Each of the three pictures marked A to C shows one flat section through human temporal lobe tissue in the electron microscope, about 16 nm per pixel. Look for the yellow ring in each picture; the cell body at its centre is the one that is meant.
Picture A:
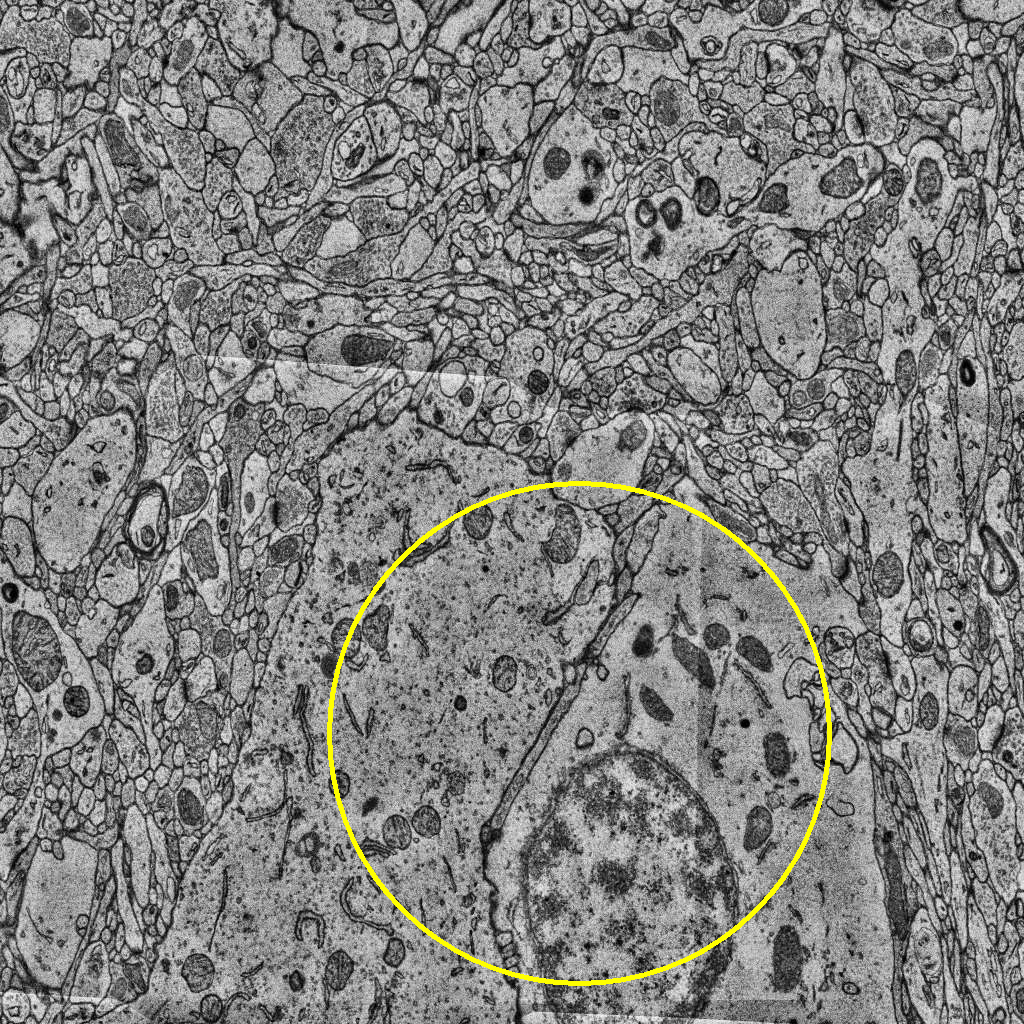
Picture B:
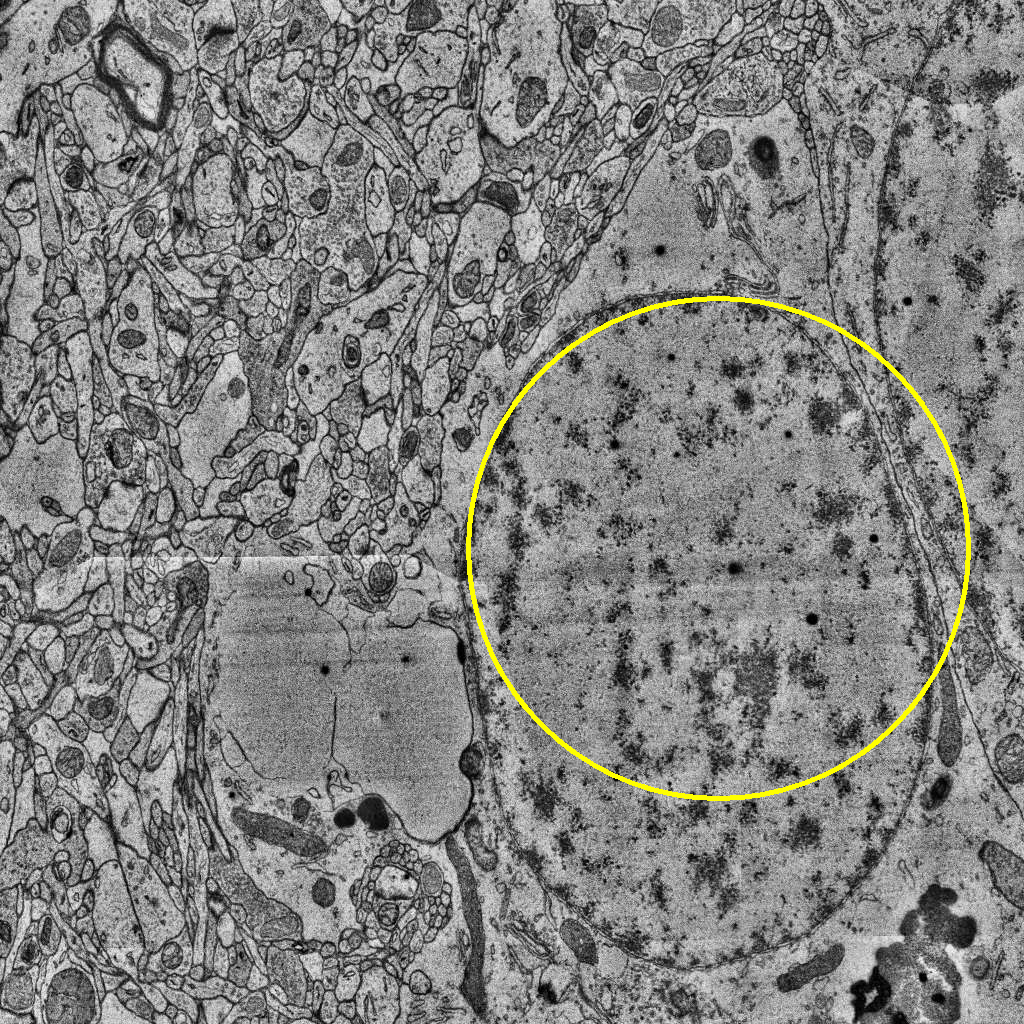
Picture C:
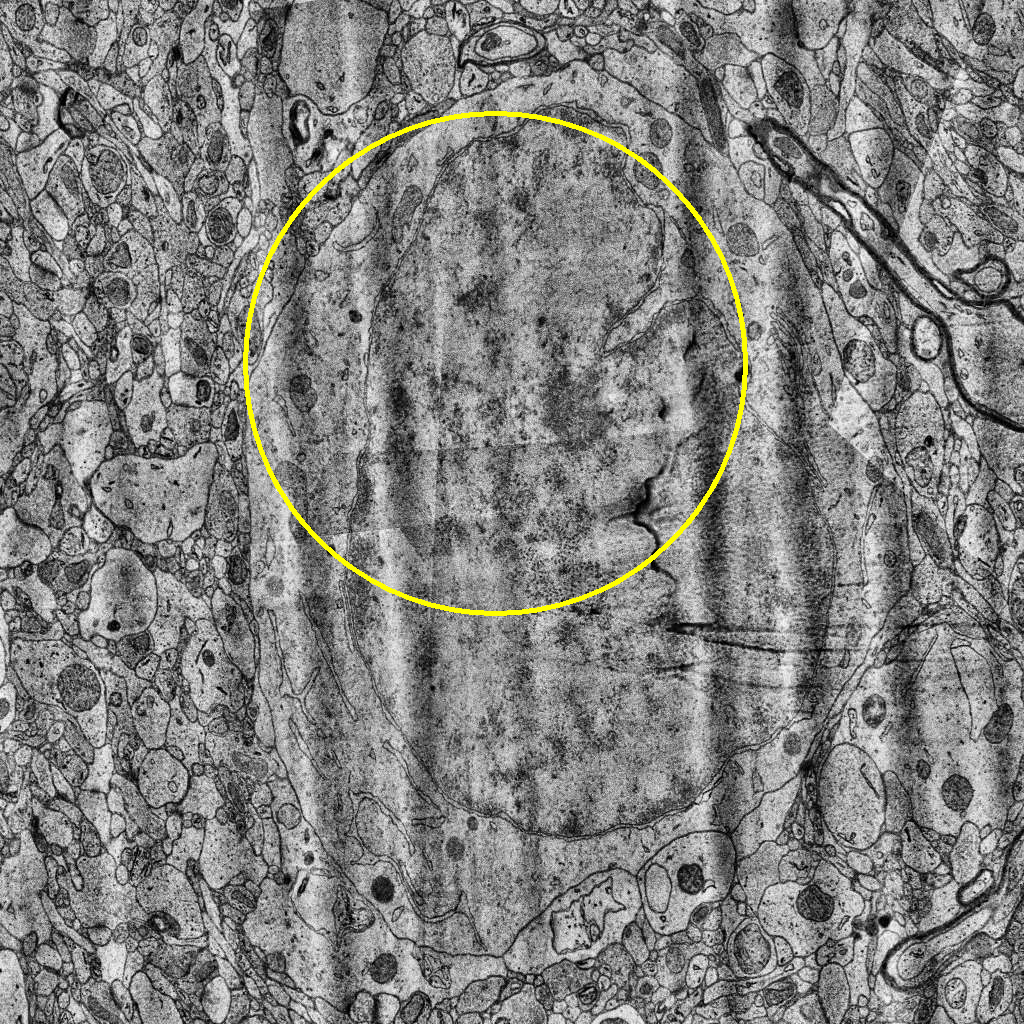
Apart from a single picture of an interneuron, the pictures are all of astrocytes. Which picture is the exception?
The cell in picture C is the interneuron.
